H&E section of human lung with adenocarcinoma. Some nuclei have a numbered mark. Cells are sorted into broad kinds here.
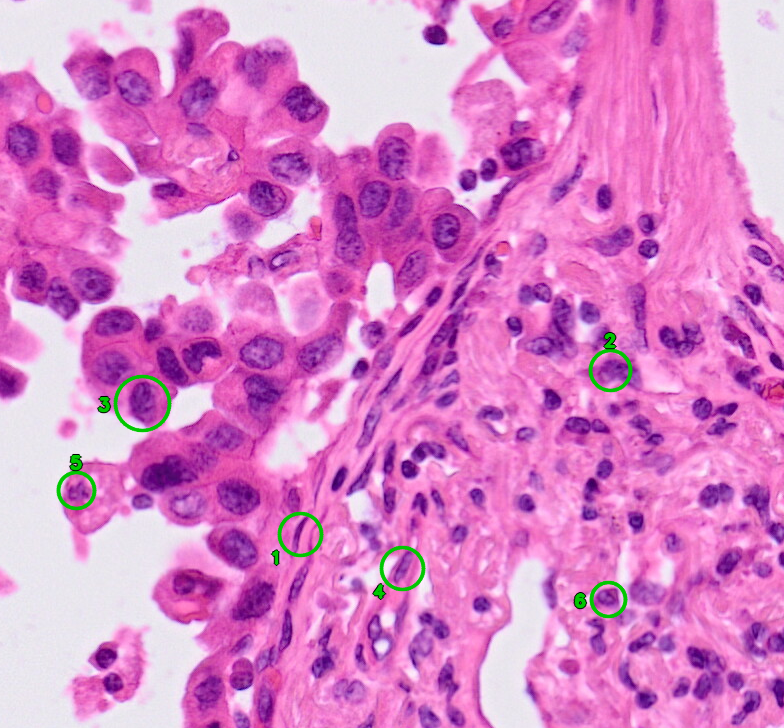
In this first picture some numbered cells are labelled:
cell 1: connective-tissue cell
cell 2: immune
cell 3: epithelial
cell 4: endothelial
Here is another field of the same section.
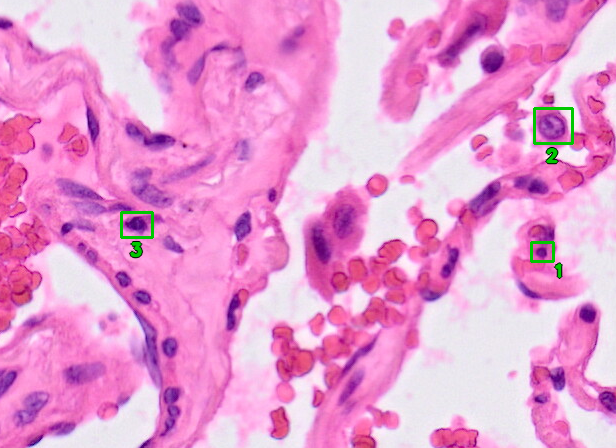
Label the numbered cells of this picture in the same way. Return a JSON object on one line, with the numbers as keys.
{"1": "endothelial", "2": "immune", "3": "immune"}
